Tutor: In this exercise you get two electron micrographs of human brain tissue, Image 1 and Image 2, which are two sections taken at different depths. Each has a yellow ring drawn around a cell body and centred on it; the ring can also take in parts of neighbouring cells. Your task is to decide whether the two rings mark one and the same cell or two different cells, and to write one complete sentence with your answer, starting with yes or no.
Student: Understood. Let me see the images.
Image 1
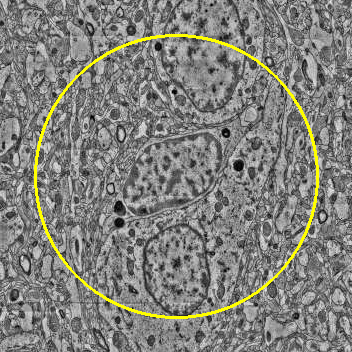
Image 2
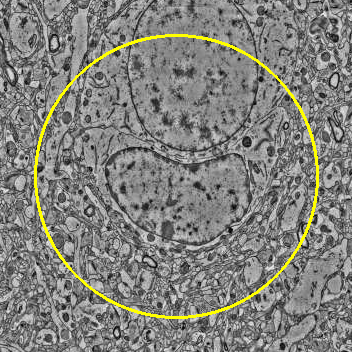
No, the two rings outline two separate cells in this micrograph.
